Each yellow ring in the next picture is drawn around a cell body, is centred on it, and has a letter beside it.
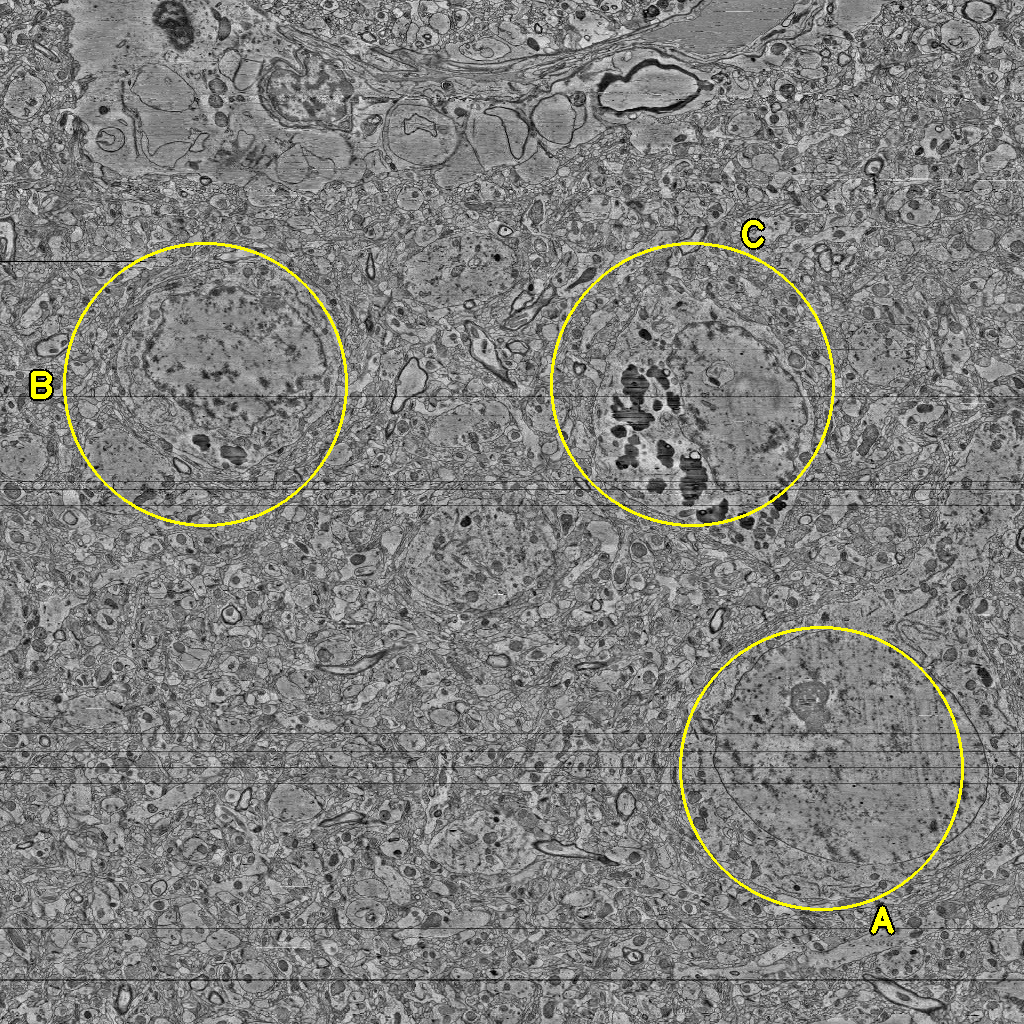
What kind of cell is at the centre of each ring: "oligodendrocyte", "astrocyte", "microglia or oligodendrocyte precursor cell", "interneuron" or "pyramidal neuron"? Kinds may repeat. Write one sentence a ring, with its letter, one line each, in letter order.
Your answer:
The centre of ring A falls on a pyramidal neuron.
The centre of ring B falls on an interneuron.
The centre of ring C falls on an interneuron.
